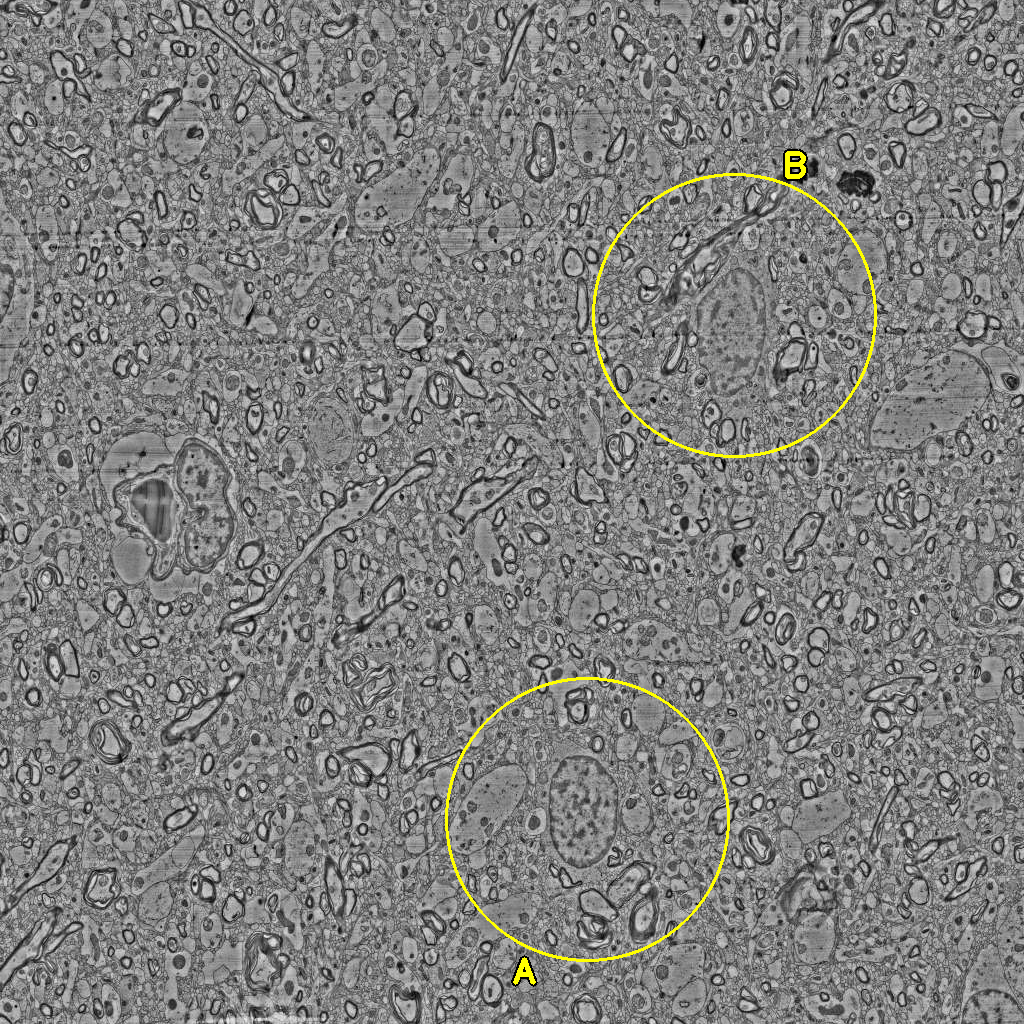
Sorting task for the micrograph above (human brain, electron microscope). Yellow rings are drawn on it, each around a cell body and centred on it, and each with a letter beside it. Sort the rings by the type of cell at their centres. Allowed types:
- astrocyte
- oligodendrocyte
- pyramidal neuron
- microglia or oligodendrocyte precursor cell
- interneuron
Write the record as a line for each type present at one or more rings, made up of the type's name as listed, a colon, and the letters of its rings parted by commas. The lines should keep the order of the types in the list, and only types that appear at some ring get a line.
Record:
oligodendrocyte: A, B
